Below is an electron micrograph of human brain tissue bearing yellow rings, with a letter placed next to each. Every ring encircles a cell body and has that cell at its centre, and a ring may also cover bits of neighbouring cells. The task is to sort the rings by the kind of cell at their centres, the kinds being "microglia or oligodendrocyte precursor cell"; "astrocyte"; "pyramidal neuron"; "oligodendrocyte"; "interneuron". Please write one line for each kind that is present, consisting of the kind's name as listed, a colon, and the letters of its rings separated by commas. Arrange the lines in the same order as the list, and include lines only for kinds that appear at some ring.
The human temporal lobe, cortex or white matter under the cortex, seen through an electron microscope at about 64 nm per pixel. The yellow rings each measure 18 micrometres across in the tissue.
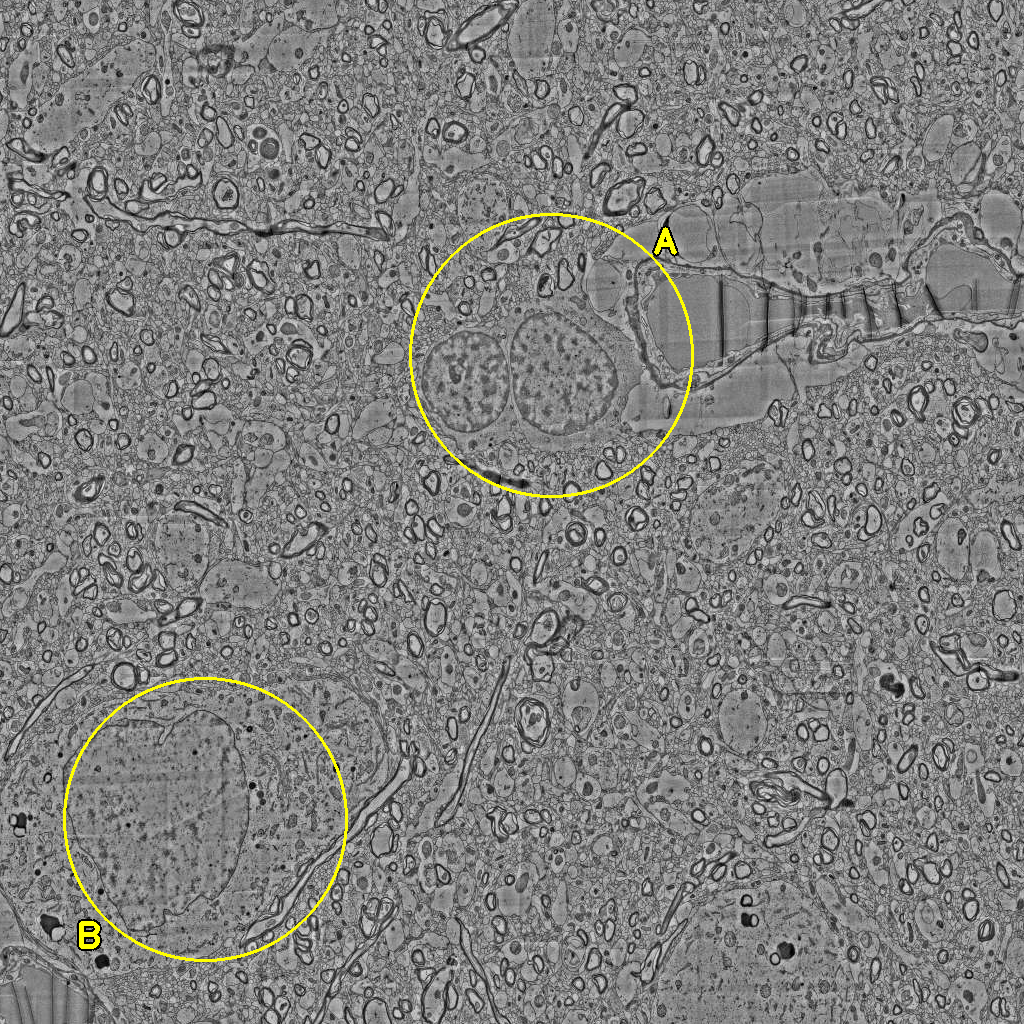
pyramidal neuron: B
oligodendrocyte: A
